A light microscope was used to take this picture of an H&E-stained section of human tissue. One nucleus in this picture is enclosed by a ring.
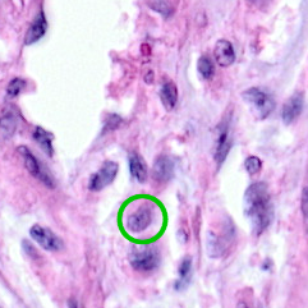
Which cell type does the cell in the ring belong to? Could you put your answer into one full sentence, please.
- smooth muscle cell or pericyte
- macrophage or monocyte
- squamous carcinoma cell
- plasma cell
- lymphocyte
For cell typing purposes, the cell in the ring is a macrophage or monocyte.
